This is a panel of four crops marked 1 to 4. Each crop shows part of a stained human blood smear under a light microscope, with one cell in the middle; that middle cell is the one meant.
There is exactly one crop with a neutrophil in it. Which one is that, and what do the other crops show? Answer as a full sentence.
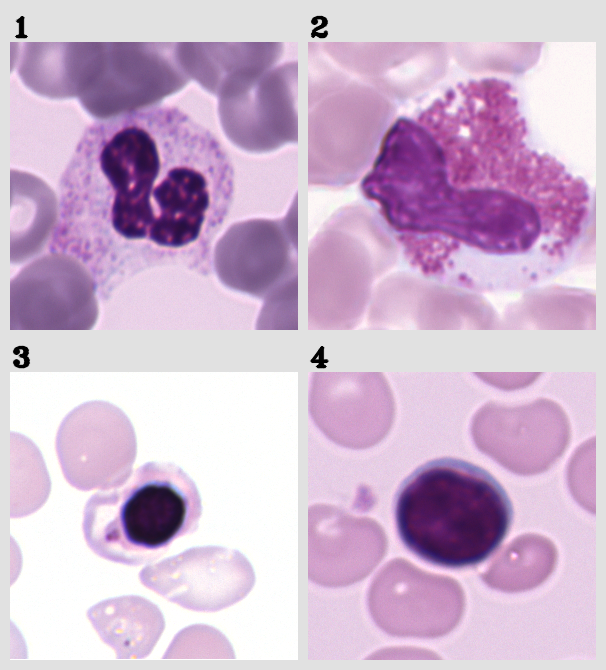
What crop 1 shows is a neutrophil, while crop 2 is an eosinophil, crop 3 is an erythroblast and crop 4 is a lymphocyte.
